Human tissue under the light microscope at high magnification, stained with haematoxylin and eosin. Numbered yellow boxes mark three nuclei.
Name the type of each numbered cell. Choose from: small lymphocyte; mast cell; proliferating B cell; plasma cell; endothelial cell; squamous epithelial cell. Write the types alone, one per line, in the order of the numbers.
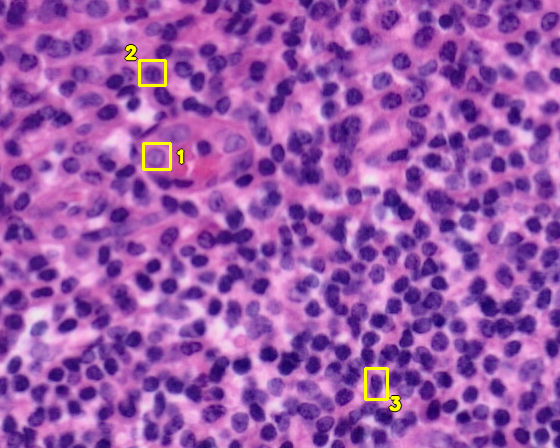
endothelial cell
plasma cell
small lymphocyte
